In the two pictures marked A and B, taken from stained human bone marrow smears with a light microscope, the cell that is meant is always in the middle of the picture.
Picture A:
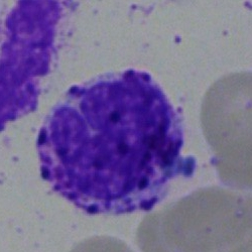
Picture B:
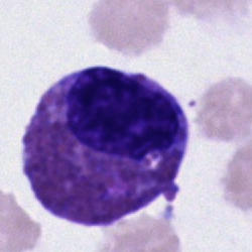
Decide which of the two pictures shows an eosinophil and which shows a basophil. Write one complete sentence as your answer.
Picture A is of a basophil, and picture B is of an eosinophil.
